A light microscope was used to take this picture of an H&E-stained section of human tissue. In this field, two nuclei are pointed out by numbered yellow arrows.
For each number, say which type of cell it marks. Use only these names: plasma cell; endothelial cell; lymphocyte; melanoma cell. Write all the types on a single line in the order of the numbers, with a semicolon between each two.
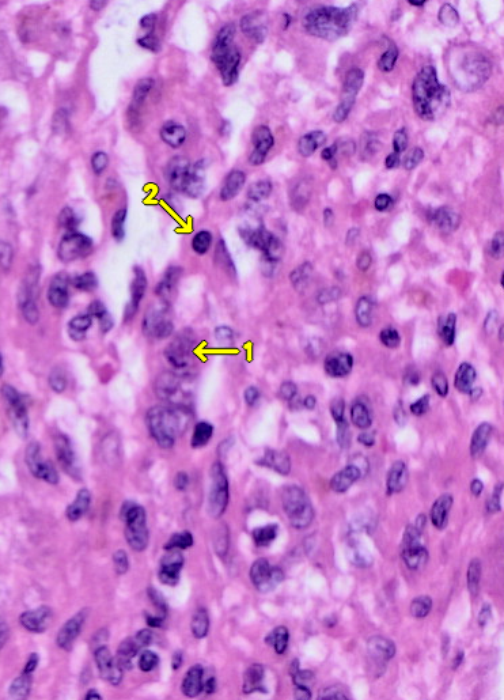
melanoma cell; lymphocyte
